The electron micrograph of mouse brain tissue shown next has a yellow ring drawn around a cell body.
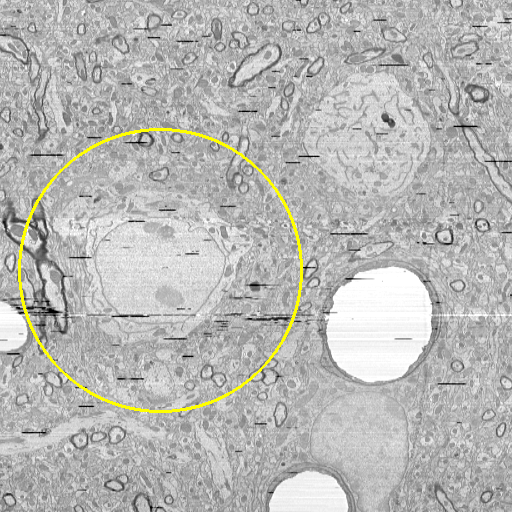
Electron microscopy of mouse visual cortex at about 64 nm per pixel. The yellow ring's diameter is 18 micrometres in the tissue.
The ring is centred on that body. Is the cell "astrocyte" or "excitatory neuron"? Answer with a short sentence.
The cell in question is an excitatory neuron.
